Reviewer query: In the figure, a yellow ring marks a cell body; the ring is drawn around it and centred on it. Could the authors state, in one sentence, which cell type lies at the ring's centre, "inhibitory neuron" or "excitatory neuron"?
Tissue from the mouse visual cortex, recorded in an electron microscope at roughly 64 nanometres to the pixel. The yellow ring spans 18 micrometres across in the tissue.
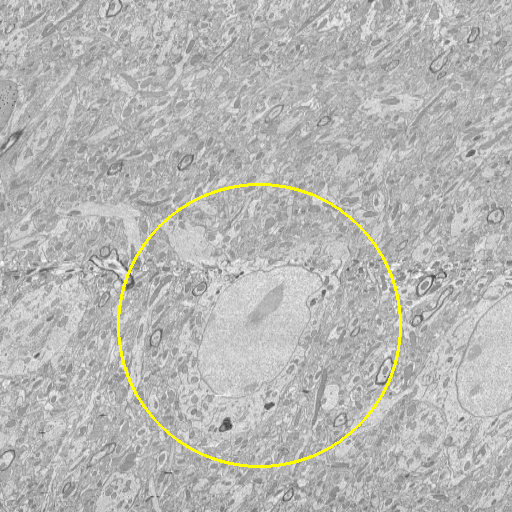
The ring is centred on an excitatory neuron.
